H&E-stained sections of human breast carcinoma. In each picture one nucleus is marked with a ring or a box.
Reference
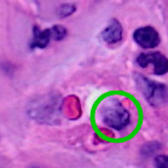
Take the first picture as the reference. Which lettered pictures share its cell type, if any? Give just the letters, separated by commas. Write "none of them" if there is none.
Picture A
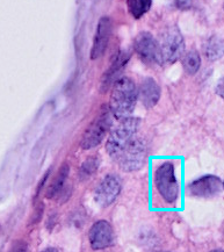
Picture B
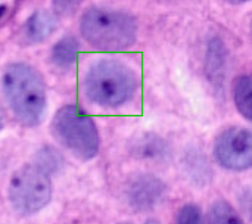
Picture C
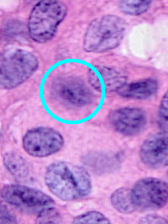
none of them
